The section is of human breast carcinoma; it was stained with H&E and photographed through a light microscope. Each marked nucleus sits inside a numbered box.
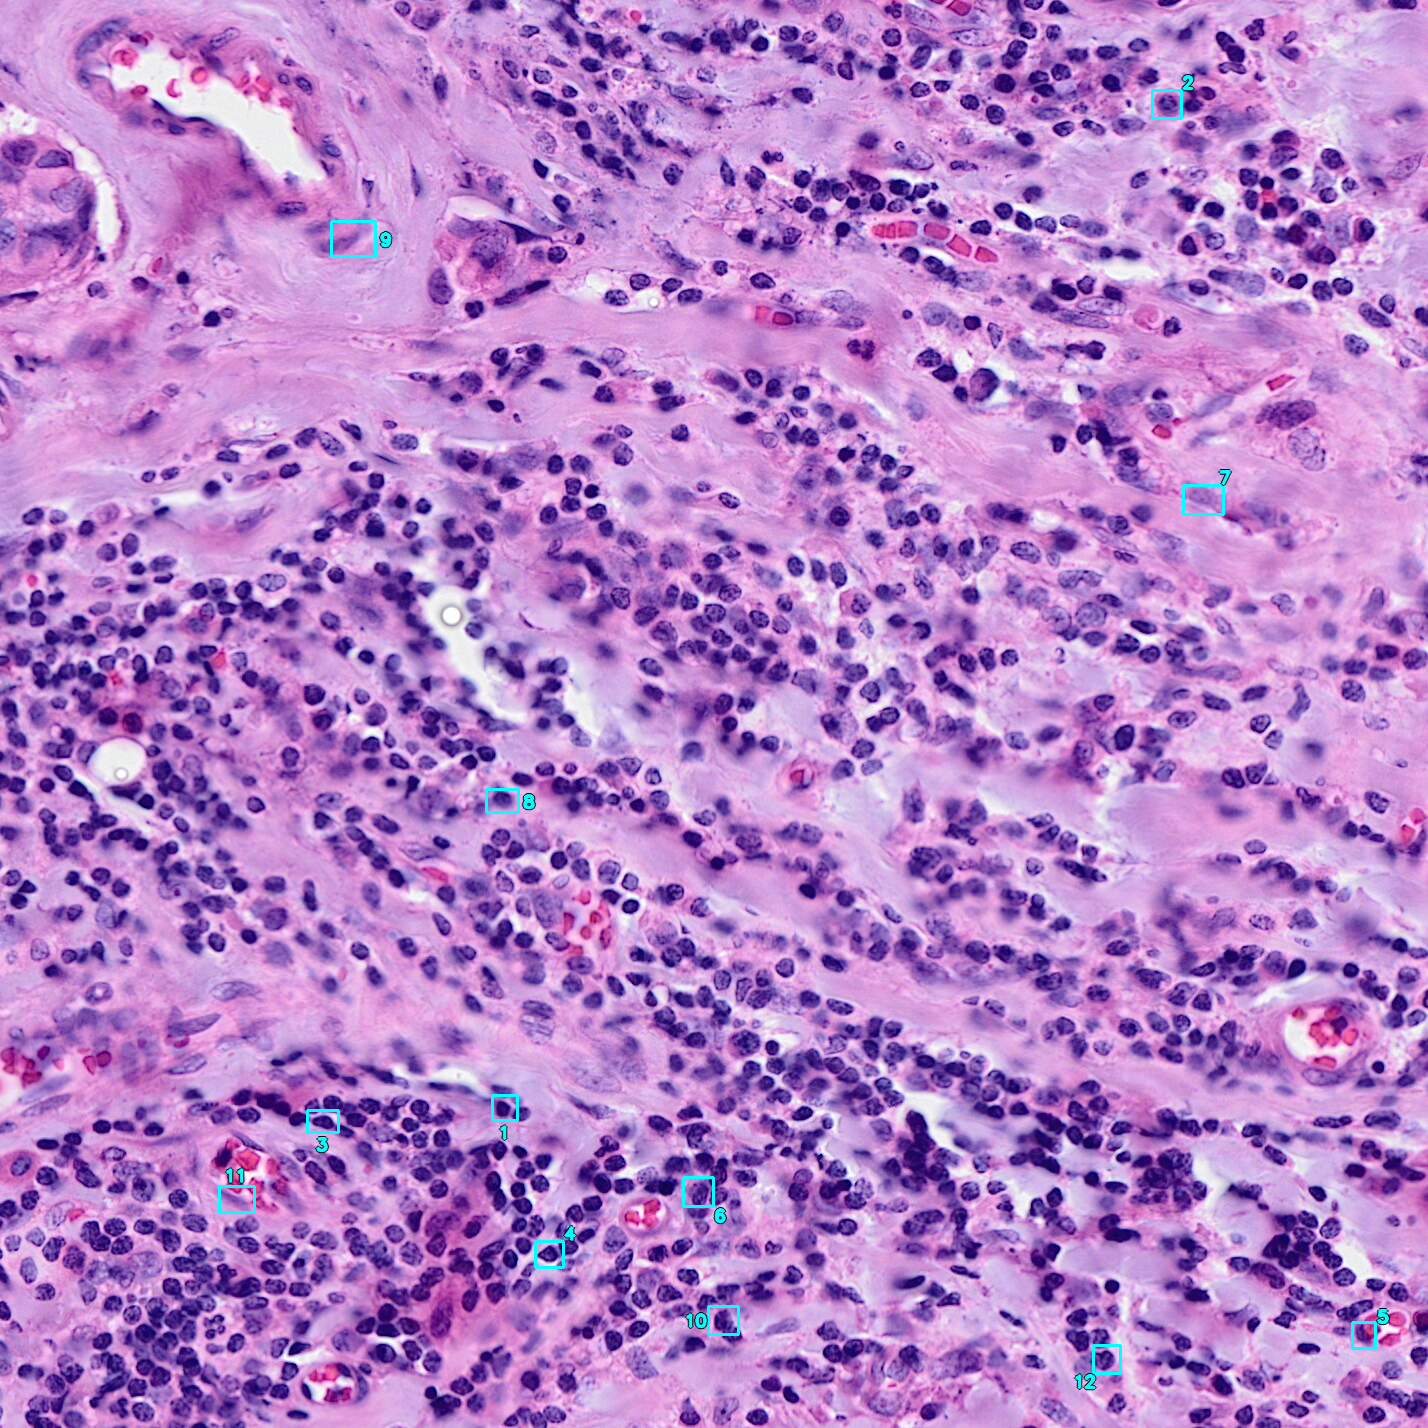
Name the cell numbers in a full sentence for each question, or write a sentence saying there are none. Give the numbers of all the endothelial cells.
The cells 5, 9 and 11 in this section are endothelial cells.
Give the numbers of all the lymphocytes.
Here, the cells that carry numbers 1, 3, 4, 6, 8, 10 and 12 are lymphocytes.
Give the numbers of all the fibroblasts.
Across all the numbered cells, only number 7 is a fibroblast.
